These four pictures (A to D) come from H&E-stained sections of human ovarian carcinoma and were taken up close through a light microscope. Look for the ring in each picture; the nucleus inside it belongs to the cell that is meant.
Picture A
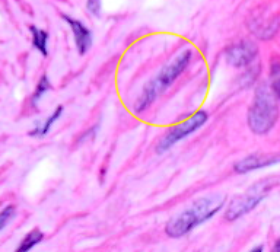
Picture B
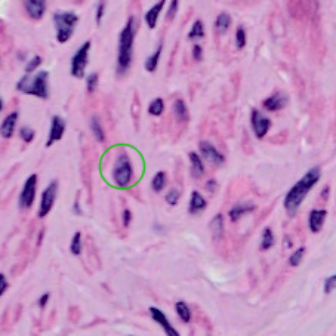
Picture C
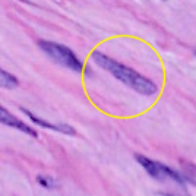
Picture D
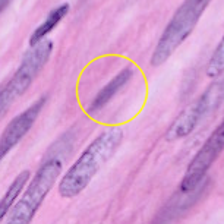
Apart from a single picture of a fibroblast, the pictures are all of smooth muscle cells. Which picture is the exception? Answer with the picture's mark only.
A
